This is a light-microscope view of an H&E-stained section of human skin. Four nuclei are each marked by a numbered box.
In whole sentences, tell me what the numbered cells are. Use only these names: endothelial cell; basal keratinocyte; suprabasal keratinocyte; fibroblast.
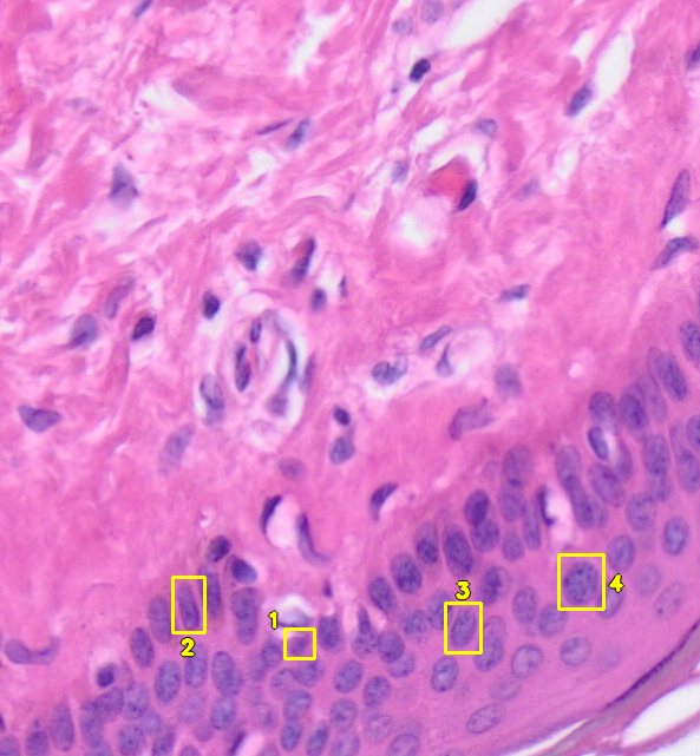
Cell 1 is a basal keratinocyte, cell 2 is a basal keratinocyte, cell 3 is a suprabasal keratinocyte and cell 4 is a basal keratinocyte.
